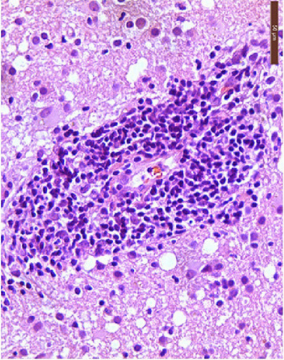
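Brain tissue with a dense perivascular cuff of inflammatory cells around a small vessel. The cells are small and round with dark purple nuclei and scant cytoplasm, packed closely around the lumen. The surrounding neuropil is pale pink and vacuolated, with scattered glial nuclei and a few larger pink cell bodies.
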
